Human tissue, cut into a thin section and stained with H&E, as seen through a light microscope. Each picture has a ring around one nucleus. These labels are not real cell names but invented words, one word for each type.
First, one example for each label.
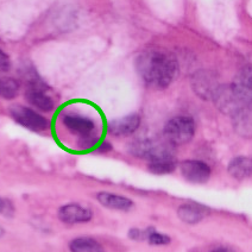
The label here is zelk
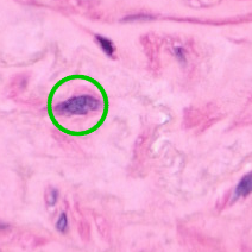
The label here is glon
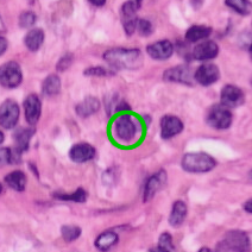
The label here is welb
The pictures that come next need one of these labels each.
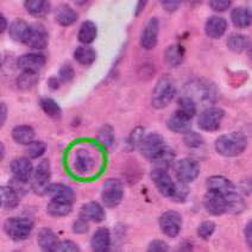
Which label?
welb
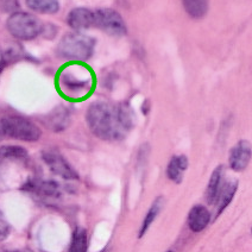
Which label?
zelk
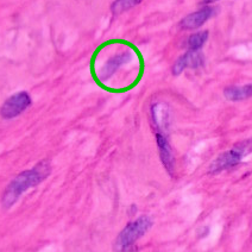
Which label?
glon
